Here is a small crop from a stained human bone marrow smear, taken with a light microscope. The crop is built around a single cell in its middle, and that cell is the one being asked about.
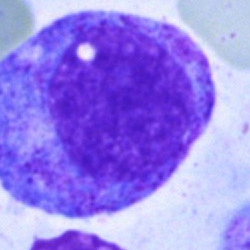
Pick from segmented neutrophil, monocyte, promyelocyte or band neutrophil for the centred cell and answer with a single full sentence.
The cell centered in this field of view is a promyelocyte.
